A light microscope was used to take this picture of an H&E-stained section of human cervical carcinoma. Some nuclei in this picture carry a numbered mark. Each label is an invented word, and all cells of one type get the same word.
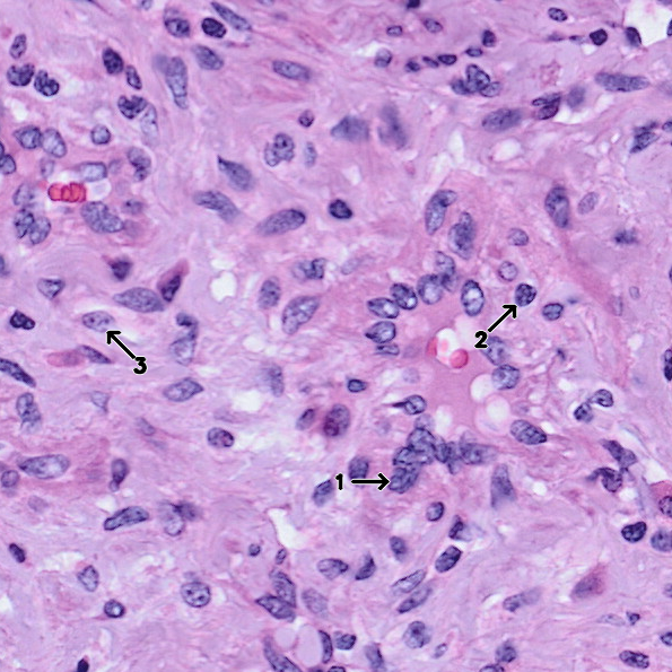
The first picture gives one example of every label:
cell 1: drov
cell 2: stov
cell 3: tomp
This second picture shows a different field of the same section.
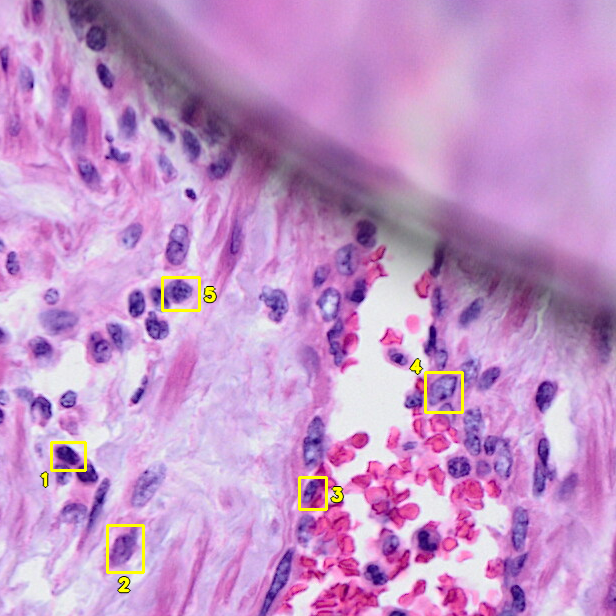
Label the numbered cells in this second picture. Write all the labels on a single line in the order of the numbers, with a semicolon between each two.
stov; tomp; drov; drov; stov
